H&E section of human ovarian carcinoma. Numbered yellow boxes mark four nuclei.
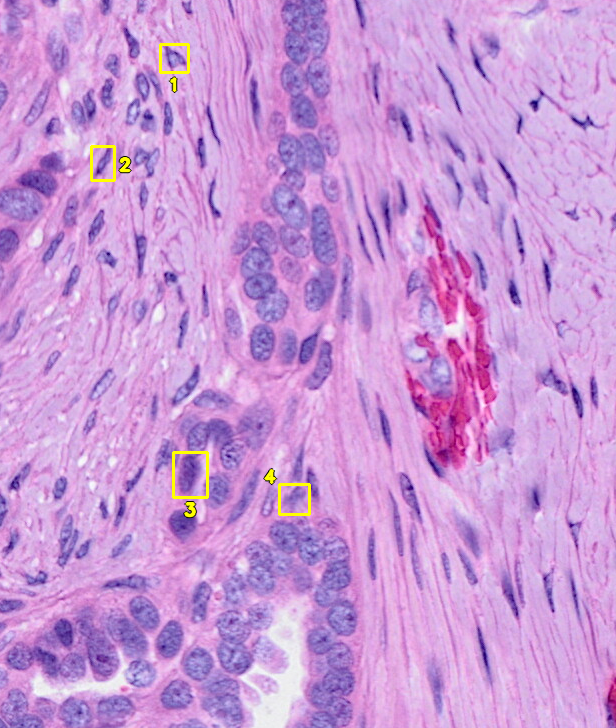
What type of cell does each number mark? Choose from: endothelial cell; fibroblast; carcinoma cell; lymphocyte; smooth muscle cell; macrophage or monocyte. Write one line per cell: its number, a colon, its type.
1: fibroblast
2: fibroblast
3: carcinoma cell
4: fibroblast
